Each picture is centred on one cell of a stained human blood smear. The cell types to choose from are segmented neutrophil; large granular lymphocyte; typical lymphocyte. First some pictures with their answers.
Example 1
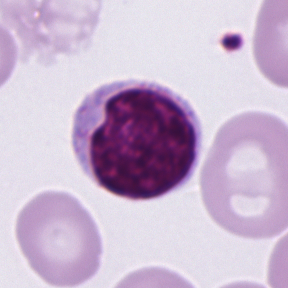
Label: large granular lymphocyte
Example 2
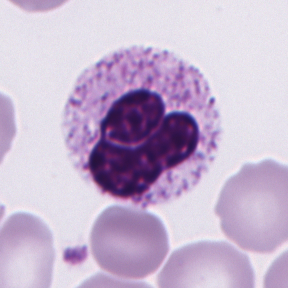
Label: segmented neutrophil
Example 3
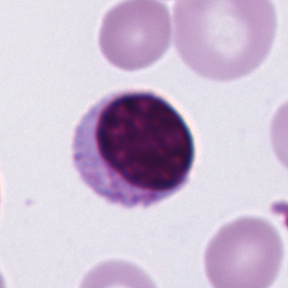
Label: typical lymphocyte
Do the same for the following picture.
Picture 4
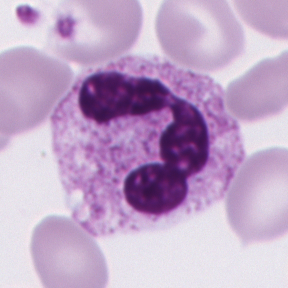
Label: segmented neutrophil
